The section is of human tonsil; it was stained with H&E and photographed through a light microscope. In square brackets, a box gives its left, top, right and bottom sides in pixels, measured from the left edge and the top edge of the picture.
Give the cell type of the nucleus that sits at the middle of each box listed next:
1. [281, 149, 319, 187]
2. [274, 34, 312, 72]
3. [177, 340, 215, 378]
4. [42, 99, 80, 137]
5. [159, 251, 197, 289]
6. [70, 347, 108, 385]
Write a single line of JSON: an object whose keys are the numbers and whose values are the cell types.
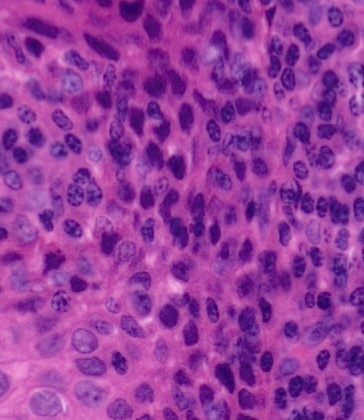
{"1": "plasma cell", "2": "plasma cell", "3": "squamous epithelial cell", "4": "plasma cell", "5": "squamous epithelial cell", "6": "squamous epithelial cell"}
